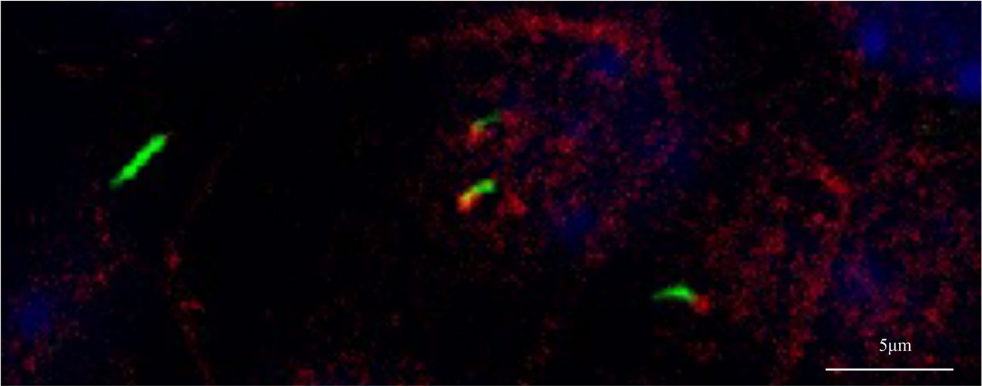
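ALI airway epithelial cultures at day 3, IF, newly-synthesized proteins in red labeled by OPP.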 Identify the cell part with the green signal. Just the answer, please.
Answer: primary cilia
